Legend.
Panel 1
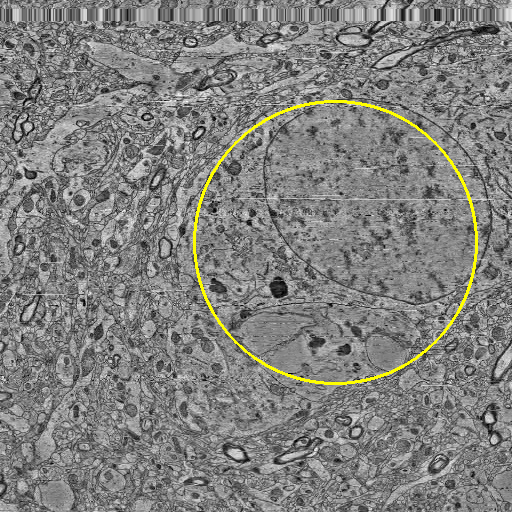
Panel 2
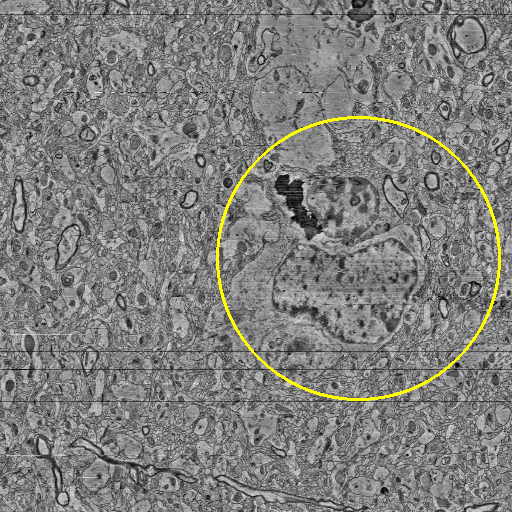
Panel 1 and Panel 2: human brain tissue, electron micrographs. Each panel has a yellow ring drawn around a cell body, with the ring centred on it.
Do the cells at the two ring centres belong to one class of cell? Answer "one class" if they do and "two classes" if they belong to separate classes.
two classes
